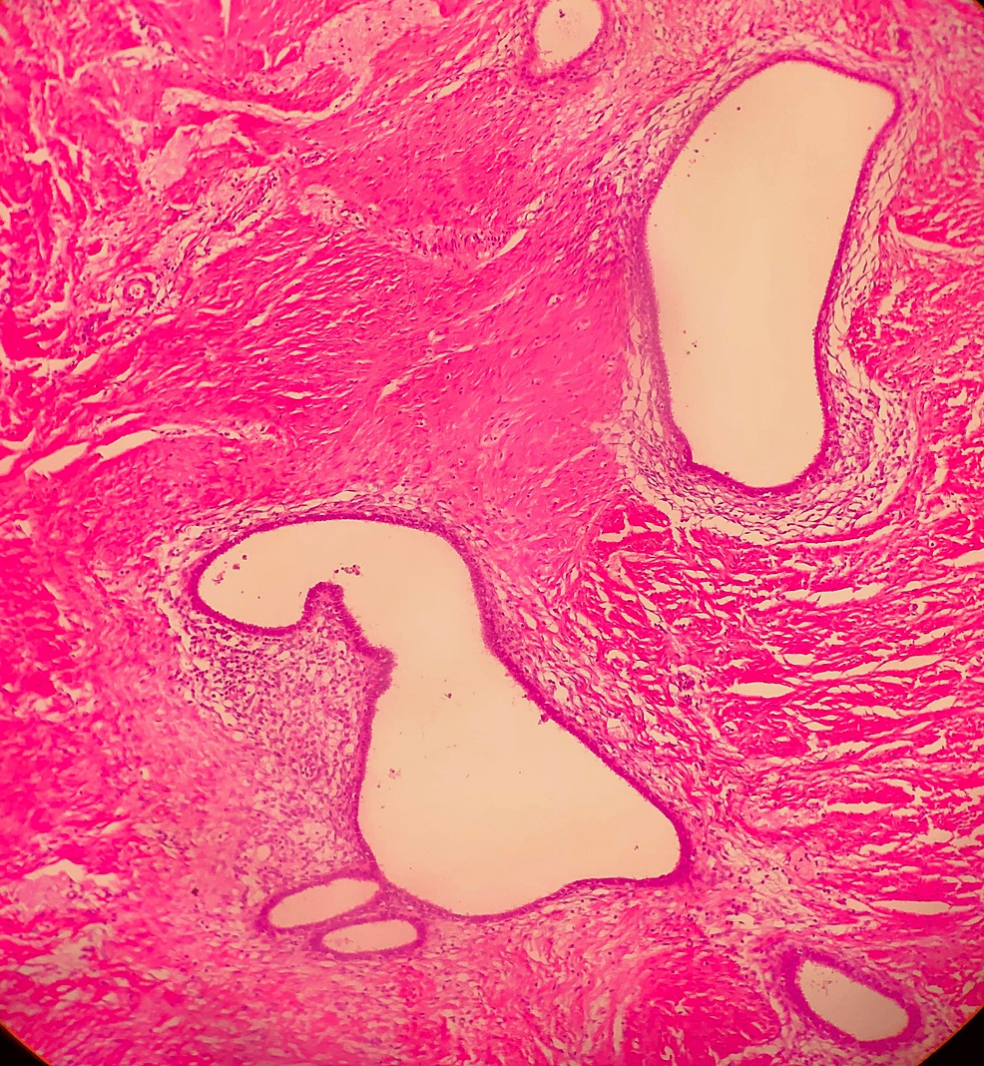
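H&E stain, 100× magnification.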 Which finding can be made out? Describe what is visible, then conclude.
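Glands and stroma lie among bright pink bundles of spindle-shaped fibers.
Endometrial gland structures and endometrial stroma included within the muscle fibers.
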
